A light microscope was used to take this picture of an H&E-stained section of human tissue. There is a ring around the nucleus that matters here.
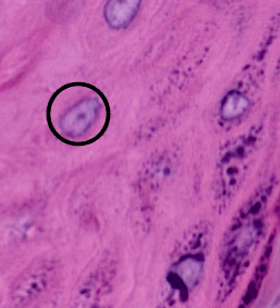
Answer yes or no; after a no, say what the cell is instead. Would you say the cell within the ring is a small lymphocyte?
No, it is a keratinocyte.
